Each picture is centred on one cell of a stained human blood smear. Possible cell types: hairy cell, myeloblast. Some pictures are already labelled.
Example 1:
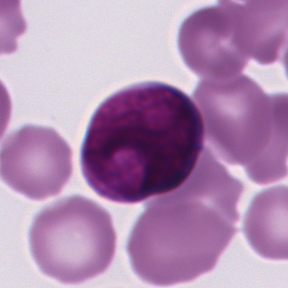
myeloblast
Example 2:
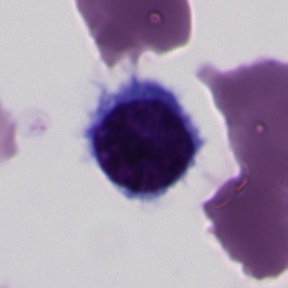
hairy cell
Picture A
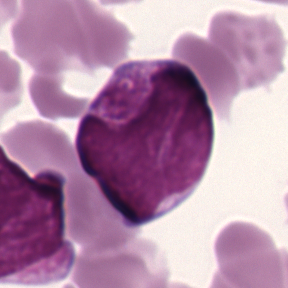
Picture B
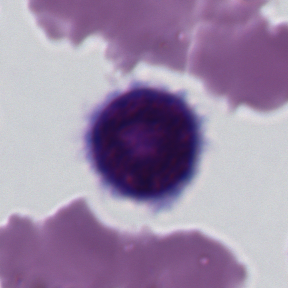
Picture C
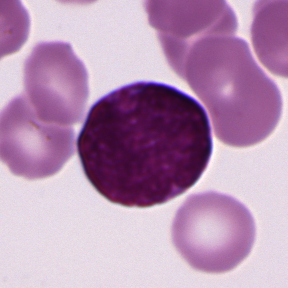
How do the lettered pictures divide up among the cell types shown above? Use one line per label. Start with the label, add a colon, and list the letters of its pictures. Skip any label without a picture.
hairy cell: B
myeloblast: A, C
